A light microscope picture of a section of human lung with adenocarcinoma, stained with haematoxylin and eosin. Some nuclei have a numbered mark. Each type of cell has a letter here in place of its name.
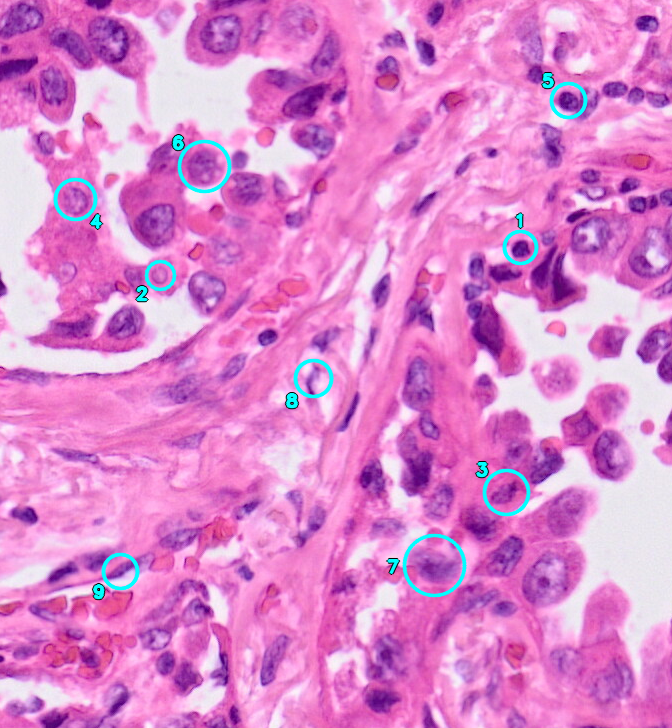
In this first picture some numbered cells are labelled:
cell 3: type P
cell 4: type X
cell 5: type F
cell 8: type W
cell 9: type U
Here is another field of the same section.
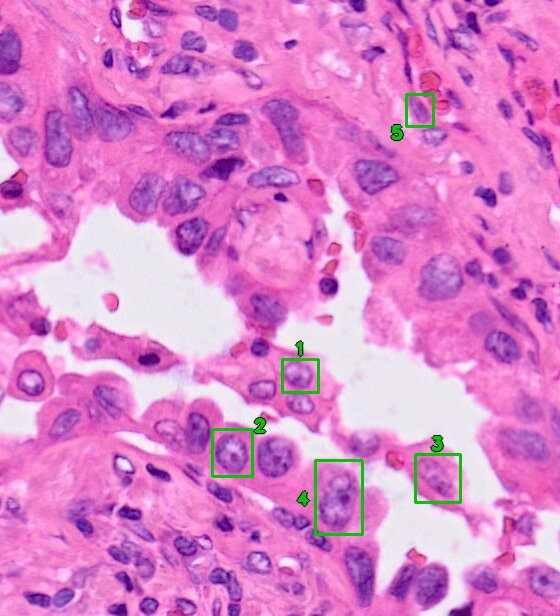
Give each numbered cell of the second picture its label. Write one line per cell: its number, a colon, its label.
1: type X
2: type P
3: type X
4: type P
5: type U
